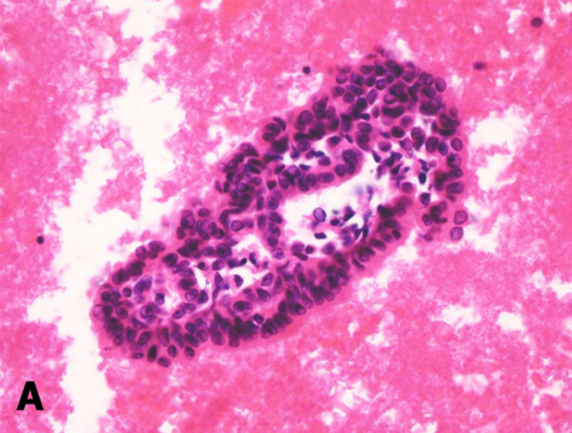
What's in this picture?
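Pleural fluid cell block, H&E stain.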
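A cohesive three-dimensional cluster of adenocarcinoma cells lies in a background of pink-red blood. The cells are crowded, with dark purple oval nuclei and scant cytoplasm, and are arranged around gland-like open spaces.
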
